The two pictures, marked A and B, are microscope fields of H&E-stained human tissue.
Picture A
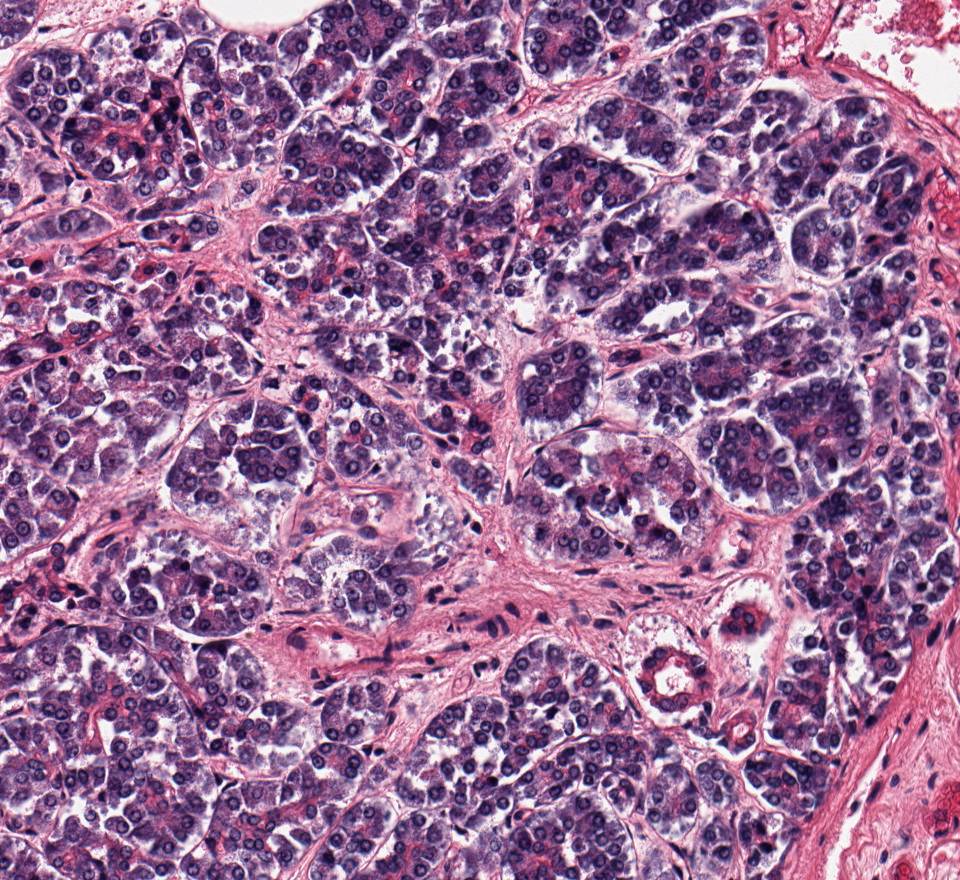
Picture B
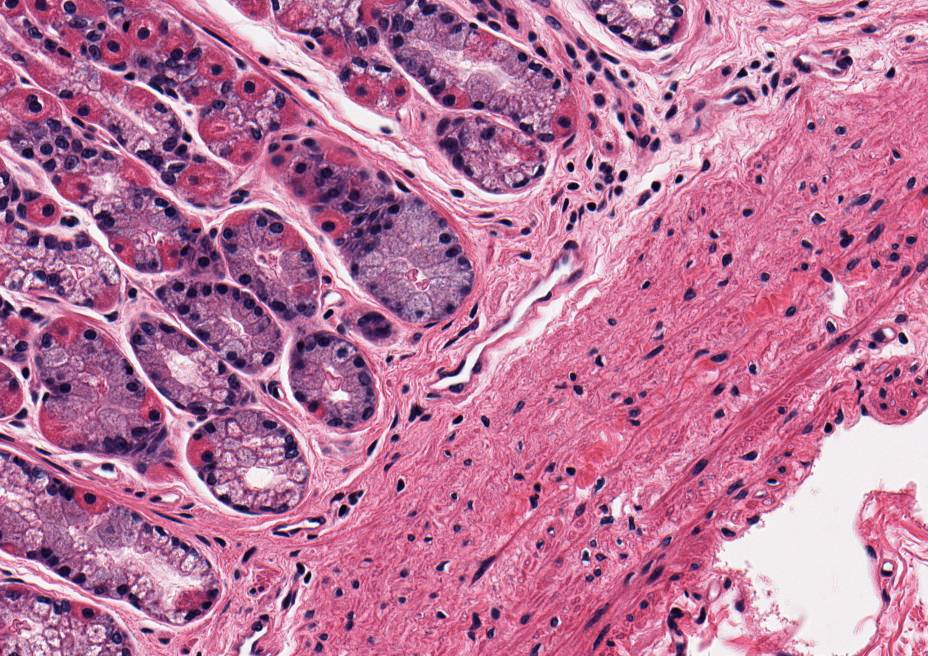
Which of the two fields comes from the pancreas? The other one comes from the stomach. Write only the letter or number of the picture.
A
